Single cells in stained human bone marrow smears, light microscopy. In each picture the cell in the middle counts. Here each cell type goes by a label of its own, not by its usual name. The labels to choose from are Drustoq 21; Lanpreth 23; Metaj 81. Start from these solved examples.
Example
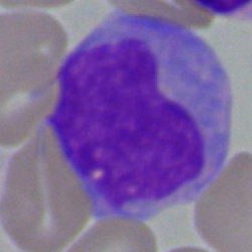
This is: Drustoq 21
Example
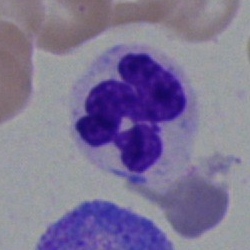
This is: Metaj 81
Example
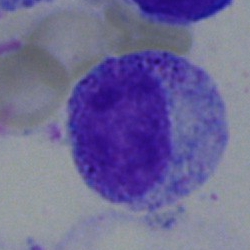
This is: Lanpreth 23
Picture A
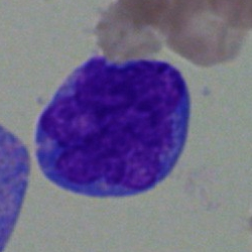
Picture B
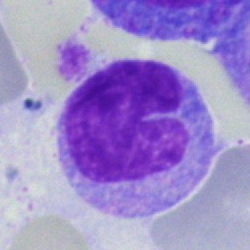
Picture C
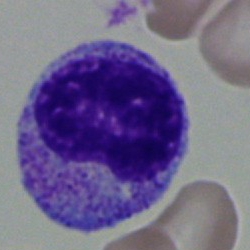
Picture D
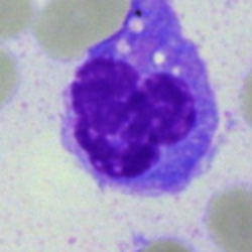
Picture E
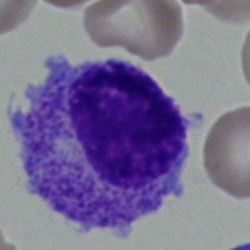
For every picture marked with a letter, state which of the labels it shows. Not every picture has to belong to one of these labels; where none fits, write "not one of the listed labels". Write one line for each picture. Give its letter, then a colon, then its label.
A: not one of the listed labels
B: Drustoq 21
C: Lanpreth 23
D: Drustoq 21
E: Lanpreth 23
